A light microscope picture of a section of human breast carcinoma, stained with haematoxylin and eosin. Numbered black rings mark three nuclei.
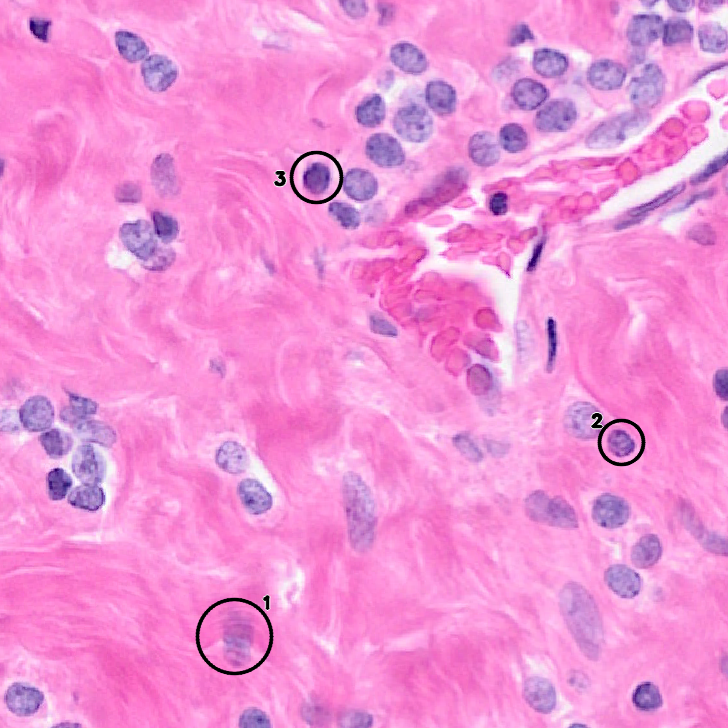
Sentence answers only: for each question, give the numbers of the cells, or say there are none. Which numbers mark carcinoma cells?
Among the numbered cells, cell 3 alone is a carcinoma cell.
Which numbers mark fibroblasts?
Cell 1 is a fibroblast; no further numbered cell is.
